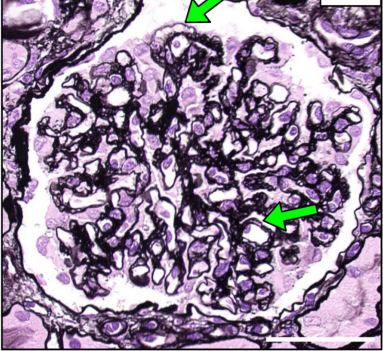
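This is a kidney glomerulus whose capillary walls show double contour formation. The tuft fills most of the capsule, leaving a thin clear space along its rim. The pinkish-purple areas between the loops, where the mesangium lies, appear somewhat widened. Purple nuclei are scattered throughout the tuft.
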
